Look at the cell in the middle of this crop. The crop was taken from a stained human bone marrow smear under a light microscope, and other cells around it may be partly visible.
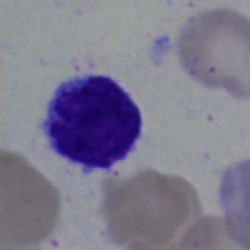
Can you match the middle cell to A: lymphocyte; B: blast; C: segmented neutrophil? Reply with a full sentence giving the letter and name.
Identification: the cell in the middle is a lymphocyte, matching option A.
